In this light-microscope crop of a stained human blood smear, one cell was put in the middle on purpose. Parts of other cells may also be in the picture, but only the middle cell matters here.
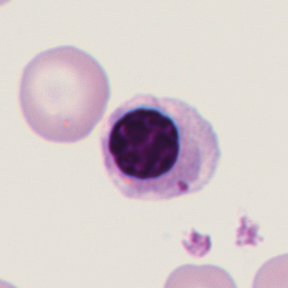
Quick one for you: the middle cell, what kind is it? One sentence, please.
The central cell, amid any neighbouring cells, is a normoblast.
